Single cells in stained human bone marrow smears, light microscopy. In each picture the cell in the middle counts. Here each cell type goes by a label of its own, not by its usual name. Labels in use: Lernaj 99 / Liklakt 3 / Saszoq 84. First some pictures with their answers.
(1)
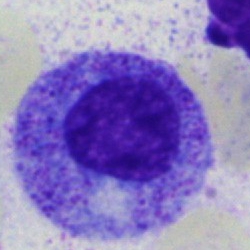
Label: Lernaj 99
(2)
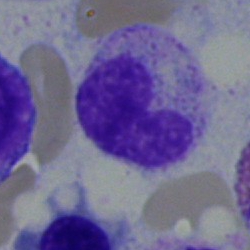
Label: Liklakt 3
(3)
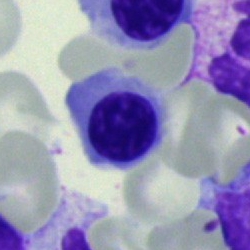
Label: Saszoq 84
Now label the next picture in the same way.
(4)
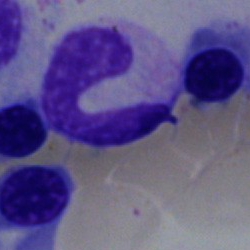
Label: Liklakt 3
